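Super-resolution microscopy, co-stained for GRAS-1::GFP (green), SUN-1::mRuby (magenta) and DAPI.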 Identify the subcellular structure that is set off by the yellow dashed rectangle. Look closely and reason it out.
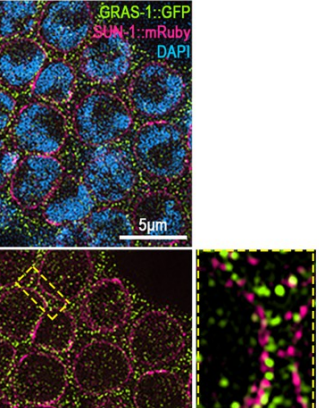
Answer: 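Nuclear margins. The rectangle lies on a magenta ring around a round nucleus. The enlarged inset shows a magenta band with green dots along it.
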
